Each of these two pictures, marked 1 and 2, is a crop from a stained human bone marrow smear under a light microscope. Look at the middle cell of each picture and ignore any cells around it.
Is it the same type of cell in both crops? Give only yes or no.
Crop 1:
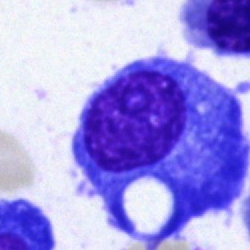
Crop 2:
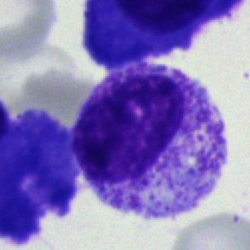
no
